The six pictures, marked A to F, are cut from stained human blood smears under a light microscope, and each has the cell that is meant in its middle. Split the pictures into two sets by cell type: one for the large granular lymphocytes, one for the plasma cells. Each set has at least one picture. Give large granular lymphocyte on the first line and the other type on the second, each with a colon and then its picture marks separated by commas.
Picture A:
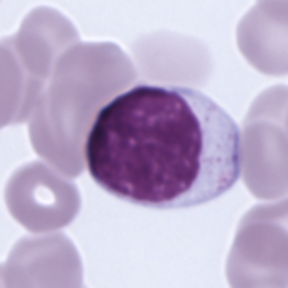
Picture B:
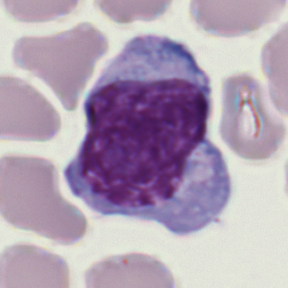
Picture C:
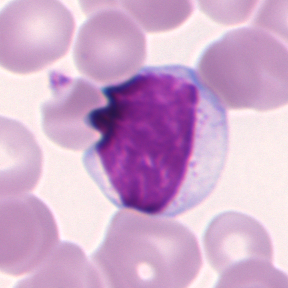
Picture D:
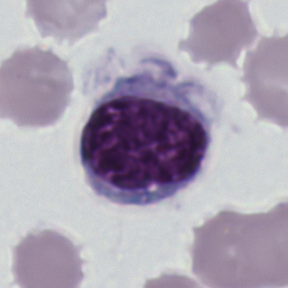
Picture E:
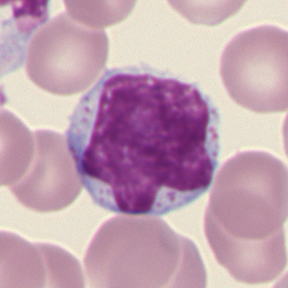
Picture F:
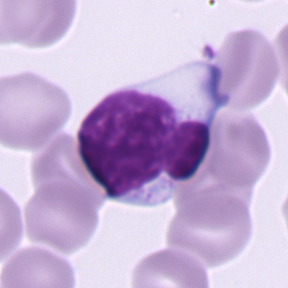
large granular lymphocyte: A, C, E, F
plasma cell: B, D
